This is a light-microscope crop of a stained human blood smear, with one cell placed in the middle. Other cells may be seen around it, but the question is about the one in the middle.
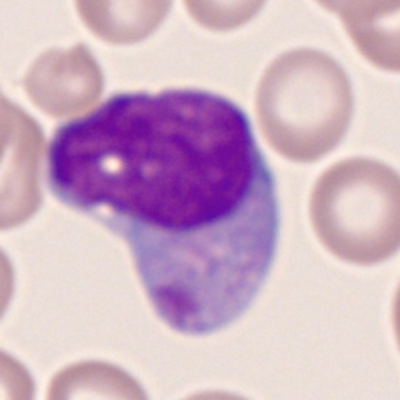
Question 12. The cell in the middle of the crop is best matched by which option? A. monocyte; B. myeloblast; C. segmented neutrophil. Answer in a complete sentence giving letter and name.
The one to choose is option A, as the cell in the middle is a monocyte.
